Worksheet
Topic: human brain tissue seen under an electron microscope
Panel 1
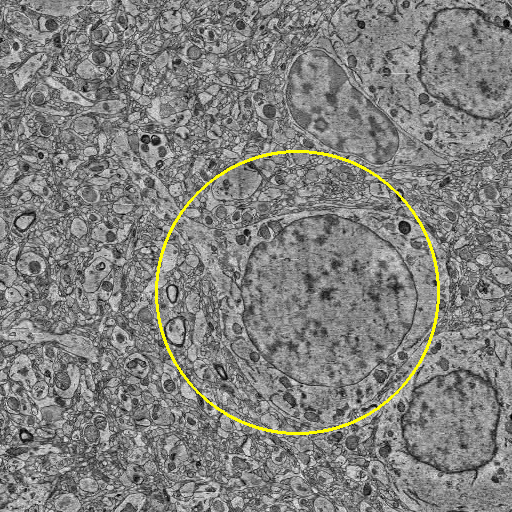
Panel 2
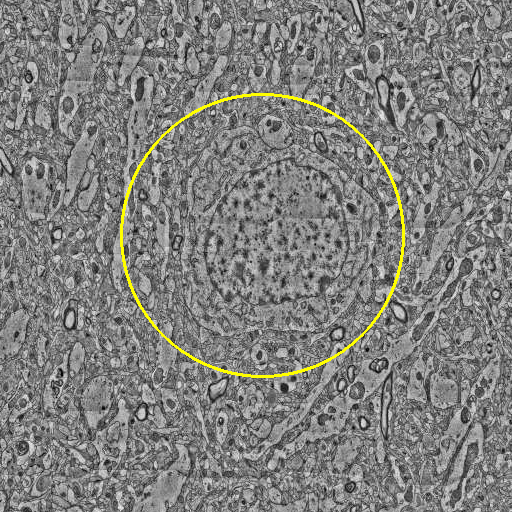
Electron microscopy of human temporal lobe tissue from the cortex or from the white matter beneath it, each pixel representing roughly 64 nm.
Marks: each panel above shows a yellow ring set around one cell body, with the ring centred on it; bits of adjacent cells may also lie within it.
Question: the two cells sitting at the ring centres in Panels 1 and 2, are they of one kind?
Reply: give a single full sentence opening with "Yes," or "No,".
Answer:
No, the two ring-centre cells in Panel 1 and Panel 2 are of two kinds.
